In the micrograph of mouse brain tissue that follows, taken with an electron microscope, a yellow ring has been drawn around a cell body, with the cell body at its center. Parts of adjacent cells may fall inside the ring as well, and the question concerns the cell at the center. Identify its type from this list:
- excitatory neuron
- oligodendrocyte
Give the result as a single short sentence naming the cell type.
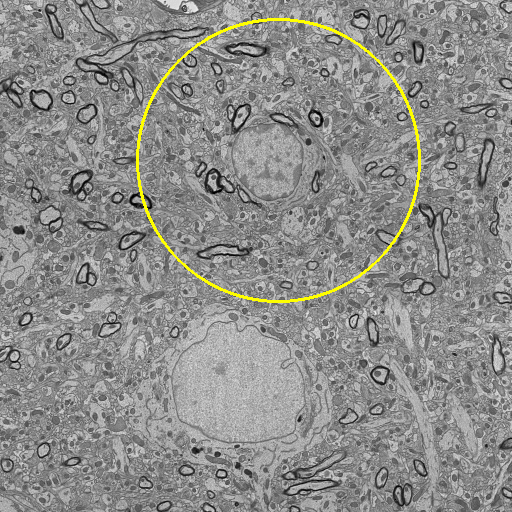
The ring is centered on an oligodendrocyte.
